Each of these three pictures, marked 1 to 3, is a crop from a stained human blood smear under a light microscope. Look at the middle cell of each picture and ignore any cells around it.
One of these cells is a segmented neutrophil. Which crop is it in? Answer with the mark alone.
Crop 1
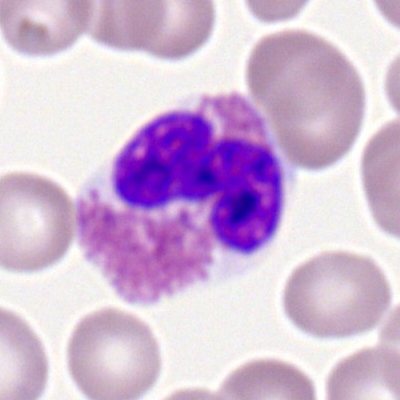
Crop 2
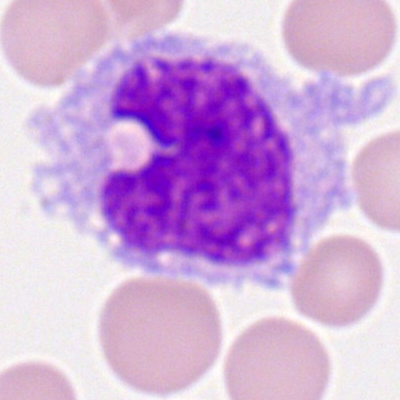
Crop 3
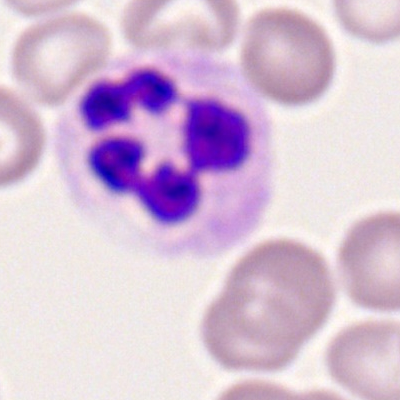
3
